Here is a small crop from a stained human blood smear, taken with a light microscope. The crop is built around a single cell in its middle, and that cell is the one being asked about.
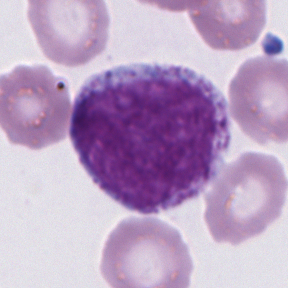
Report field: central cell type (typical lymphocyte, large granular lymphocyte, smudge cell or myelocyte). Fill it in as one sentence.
The middle of this crop holds a myelocyte.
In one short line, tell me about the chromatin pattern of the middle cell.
The key point is fine chromatin with no coarse clumps.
